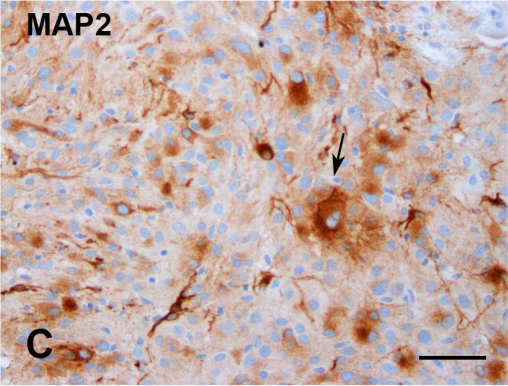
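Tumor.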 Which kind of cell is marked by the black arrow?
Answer: Giant cell.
